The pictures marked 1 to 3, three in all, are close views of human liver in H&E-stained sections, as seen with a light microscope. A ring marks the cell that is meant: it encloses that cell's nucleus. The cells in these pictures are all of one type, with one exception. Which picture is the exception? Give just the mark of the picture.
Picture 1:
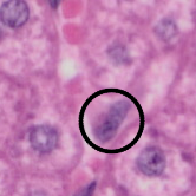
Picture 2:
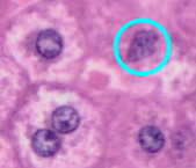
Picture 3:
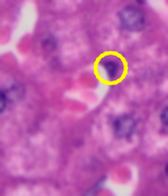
1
